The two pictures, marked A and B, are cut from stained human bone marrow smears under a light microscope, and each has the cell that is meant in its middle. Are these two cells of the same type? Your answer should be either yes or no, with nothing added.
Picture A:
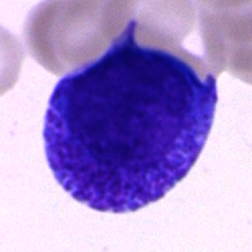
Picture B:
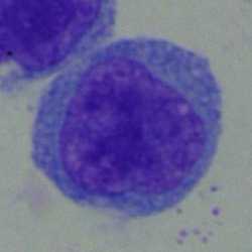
no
